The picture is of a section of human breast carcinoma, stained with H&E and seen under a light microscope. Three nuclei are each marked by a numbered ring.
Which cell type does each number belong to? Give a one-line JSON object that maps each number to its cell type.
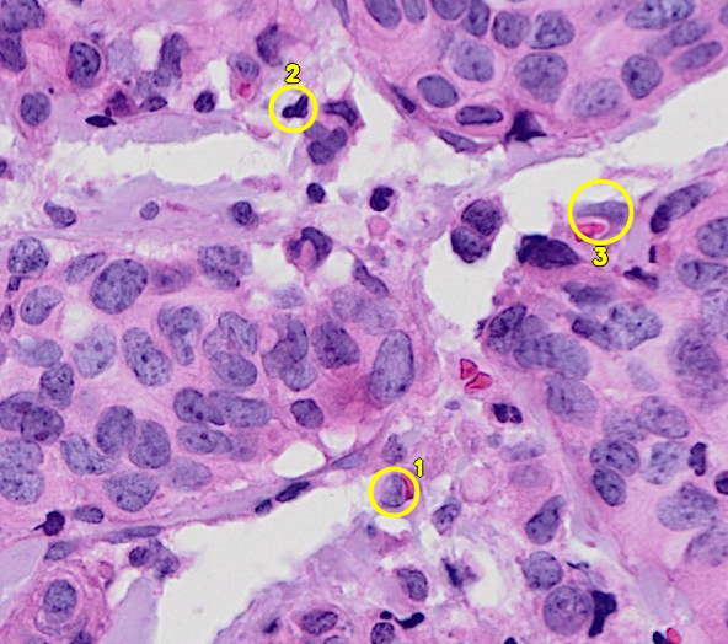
{"1": "endothelial cell", "2": "lymphocyte", "3": "endothelial cell"}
